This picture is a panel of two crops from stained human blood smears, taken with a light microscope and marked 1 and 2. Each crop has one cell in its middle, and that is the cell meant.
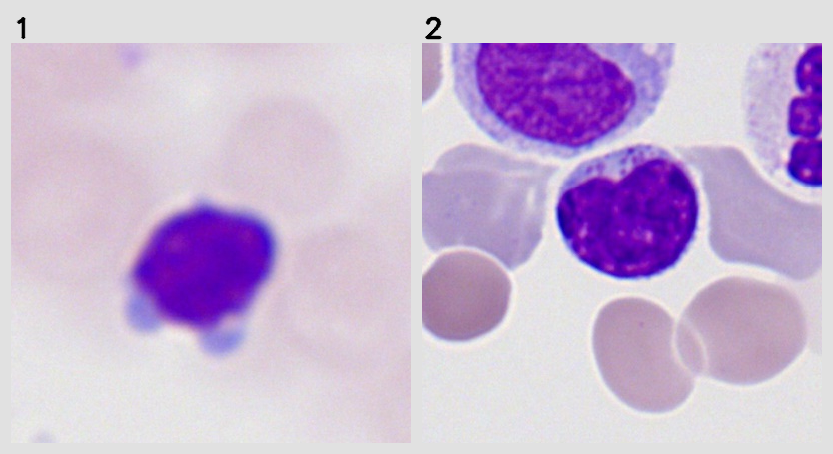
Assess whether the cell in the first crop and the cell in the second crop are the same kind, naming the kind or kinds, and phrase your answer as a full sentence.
Yes, the two crops show lymphocytes, one cell each.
